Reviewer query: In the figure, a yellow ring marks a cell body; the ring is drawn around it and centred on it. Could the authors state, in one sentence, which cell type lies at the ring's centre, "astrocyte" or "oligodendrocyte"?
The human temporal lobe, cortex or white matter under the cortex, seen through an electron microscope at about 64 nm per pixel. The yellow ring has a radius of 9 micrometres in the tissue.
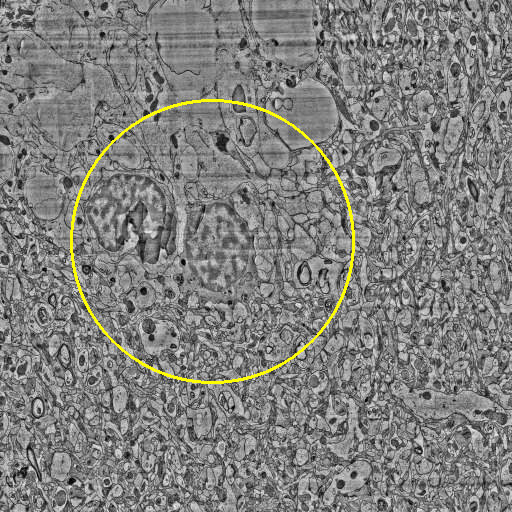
The ring is centred on an oligodendrocyte.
